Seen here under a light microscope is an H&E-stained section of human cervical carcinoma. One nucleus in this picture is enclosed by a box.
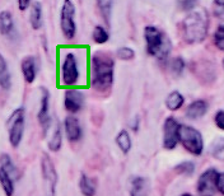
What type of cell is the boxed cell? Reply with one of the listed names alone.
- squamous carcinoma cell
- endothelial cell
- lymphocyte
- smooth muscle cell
lymphocyte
